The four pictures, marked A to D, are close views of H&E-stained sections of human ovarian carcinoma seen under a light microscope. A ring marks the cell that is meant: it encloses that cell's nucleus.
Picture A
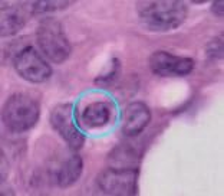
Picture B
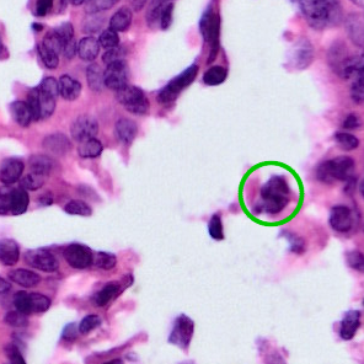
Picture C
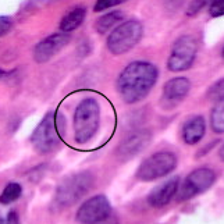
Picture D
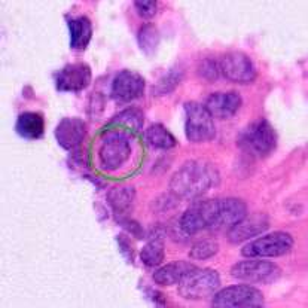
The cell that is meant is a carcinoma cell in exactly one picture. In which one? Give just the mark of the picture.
D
